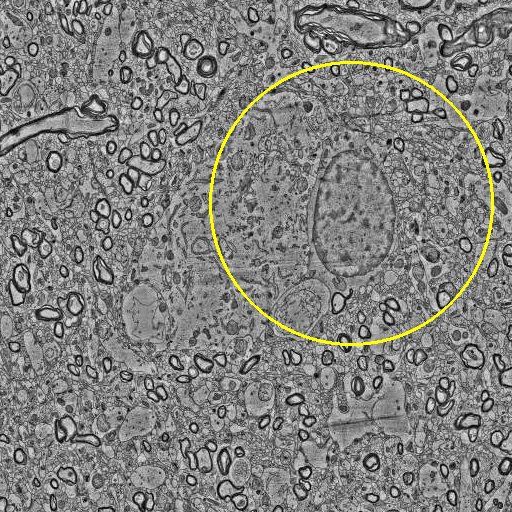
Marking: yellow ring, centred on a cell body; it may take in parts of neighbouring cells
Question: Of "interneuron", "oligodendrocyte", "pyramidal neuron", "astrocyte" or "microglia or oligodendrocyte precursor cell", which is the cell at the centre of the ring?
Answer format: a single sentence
The ring surrounds the body of an oligodendrocyte.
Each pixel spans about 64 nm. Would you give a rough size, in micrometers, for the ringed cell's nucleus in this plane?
In this plane, approximately 8 by 5 micrometers, and clearly longer than it is wide.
